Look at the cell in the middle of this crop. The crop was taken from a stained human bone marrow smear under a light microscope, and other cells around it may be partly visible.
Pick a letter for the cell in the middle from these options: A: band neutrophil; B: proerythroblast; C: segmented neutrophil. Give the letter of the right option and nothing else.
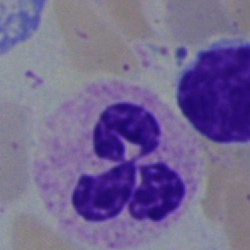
C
